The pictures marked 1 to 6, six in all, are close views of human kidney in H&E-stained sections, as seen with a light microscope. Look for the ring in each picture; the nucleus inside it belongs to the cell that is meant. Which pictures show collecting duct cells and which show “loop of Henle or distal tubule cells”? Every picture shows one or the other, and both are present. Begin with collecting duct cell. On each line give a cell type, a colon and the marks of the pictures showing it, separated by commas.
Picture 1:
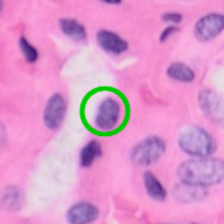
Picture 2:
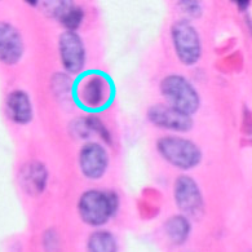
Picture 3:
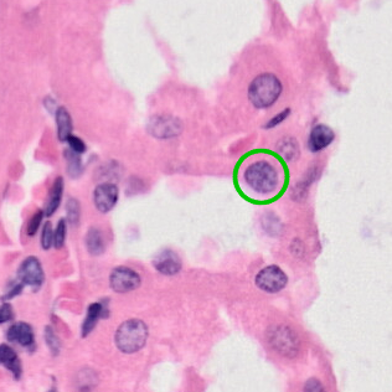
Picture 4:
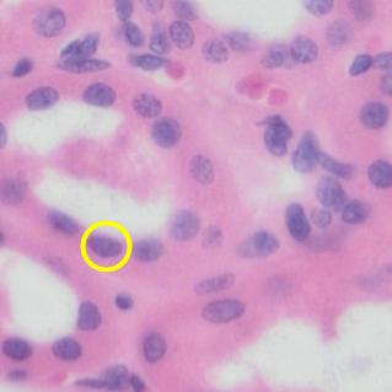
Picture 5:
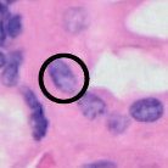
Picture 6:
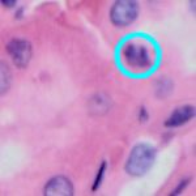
collecting duct cell: 2, 5, 6
loop of Henle or distal tubule cell: 1, 3, 4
